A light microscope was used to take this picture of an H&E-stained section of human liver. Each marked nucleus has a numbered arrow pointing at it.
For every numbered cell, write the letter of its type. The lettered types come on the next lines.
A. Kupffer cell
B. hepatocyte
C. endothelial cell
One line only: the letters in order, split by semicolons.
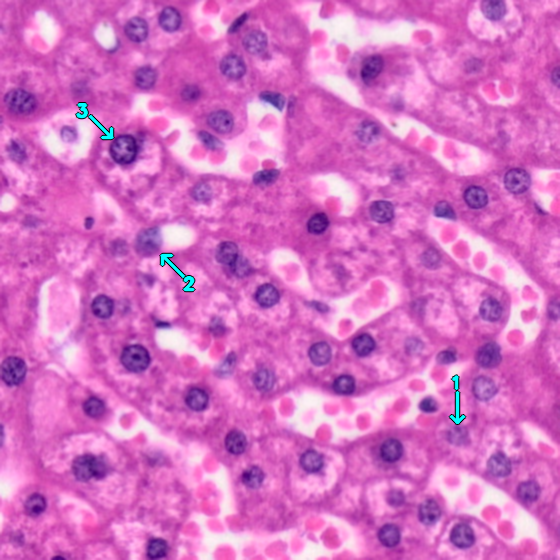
B; C; B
